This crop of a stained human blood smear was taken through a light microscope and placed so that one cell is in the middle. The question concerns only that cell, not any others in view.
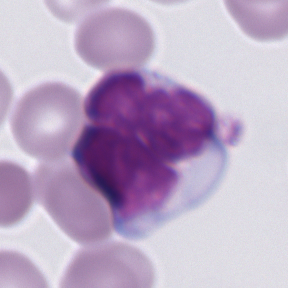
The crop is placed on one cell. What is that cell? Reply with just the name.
large granular lymphocyte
